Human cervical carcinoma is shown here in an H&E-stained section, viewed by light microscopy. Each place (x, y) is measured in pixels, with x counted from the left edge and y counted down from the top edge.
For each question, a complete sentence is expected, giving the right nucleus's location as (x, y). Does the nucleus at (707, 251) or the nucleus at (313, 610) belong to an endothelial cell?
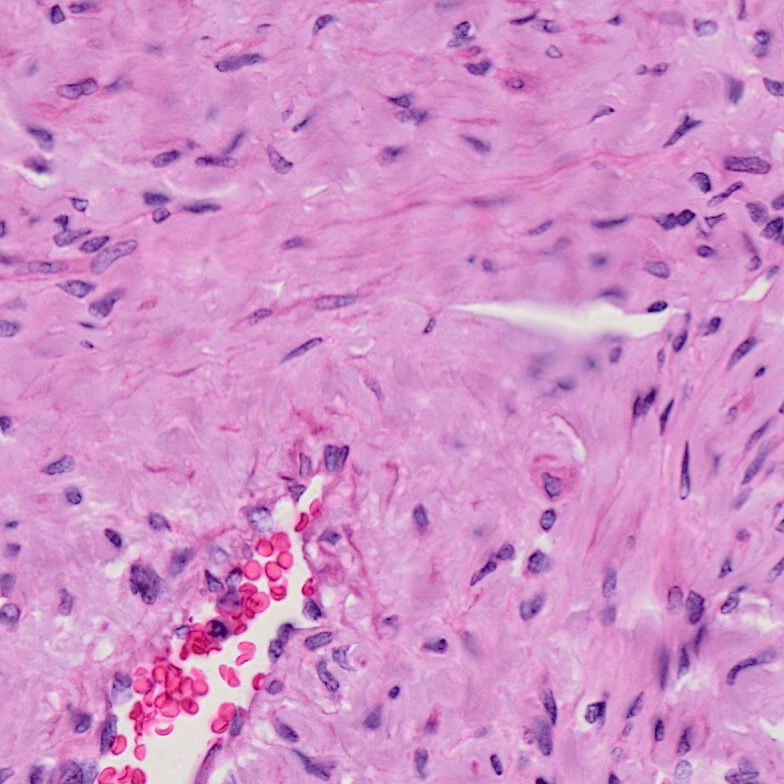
The nucleus at (313, 610) is contained in an endothelial cell.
